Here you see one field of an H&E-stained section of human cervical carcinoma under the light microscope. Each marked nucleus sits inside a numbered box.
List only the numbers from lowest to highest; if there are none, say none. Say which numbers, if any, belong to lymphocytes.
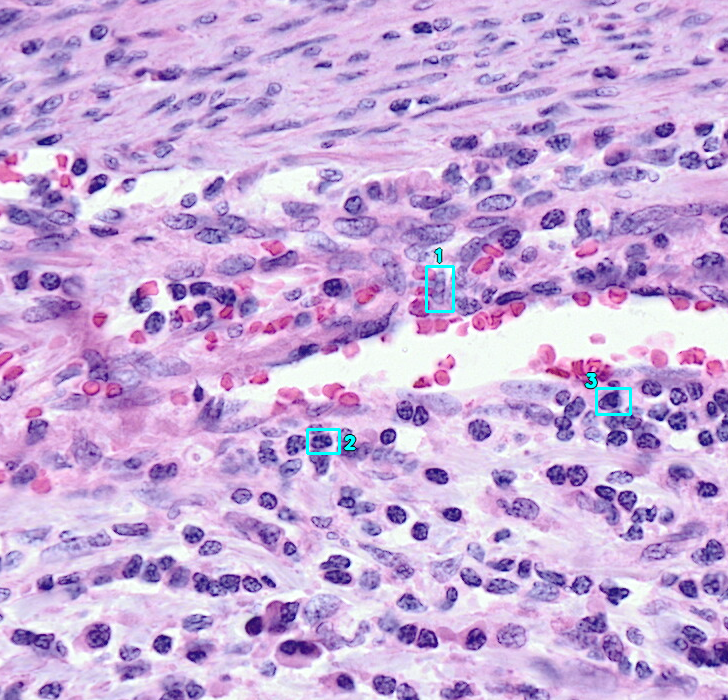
2, 3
